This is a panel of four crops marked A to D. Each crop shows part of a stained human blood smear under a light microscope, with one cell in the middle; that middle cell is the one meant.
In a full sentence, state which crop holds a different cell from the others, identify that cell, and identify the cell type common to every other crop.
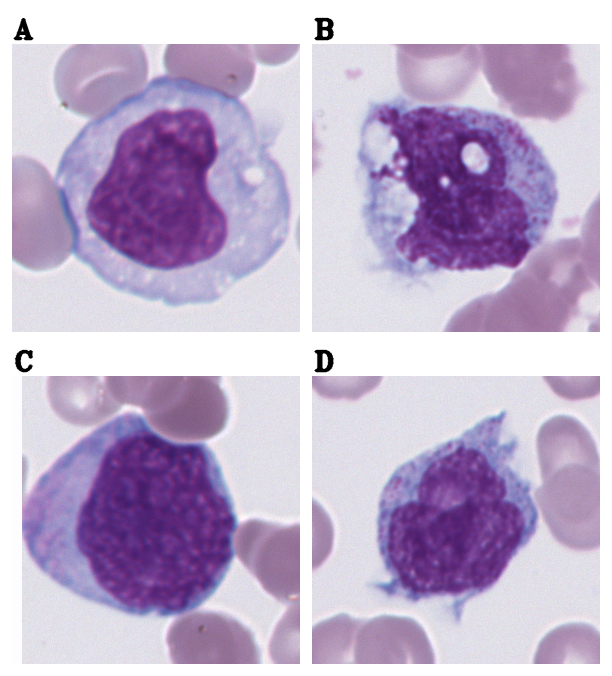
With the other crops all showing monocytes, crop C differs by showing an atypical promyelocyte.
